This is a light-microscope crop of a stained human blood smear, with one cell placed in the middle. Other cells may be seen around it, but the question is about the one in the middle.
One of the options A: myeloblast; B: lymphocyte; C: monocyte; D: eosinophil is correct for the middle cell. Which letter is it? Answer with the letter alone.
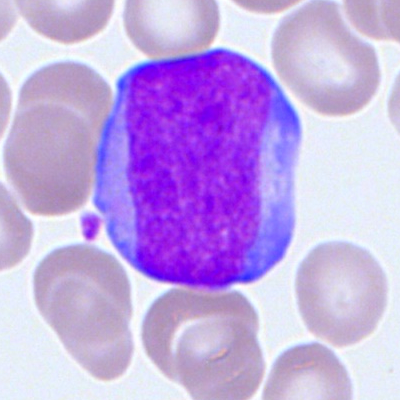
A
